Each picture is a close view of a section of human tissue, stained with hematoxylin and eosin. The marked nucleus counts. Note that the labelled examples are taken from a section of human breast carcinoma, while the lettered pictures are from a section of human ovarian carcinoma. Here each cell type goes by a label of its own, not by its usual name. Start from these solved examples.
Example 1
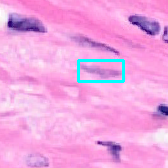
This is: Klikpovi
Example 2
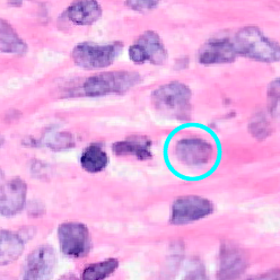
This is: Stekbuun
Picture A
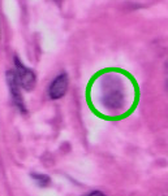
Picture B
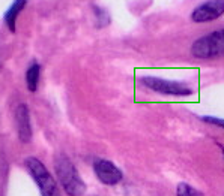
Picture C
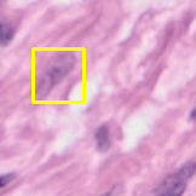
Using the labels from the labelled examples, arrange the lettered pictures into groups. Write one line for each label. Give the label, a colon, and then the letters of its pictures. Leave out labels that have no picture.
Klikpovi: A, B, C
